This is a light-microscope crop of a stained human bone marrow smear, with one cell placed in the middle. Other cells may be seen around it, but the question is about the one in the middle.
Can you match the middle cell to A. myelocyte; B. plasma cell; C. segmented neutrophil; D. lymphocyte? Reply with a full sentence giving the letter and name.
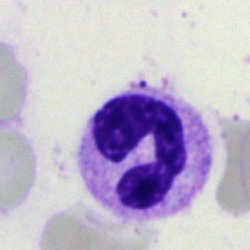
The correct response is option C, naming the cell in the middle as a segmented neutrophil.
